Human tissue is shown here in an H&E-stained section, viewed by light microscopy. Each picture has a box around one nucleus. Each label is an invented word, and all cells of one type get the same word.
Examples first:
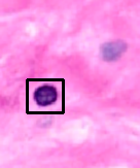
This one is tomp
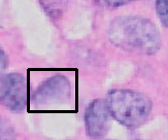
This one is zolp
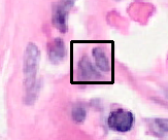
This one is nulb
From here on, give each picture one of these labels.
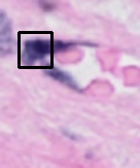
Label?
nulb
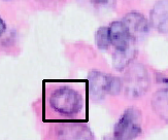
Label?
zolp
